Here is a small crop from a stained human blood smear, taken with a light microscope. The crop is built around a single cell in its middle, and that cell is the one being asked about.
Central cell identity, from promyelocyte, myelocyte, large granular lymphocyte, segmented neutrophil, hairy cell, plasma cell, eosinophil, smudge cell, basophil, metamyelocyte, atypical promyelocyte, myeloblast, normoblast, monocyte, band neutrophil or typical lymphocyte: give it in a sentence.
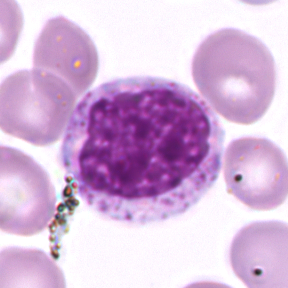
The cell in the exact centre of the crop is a myelocyte.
